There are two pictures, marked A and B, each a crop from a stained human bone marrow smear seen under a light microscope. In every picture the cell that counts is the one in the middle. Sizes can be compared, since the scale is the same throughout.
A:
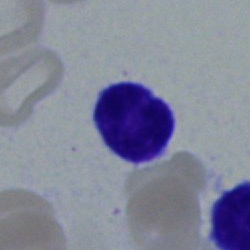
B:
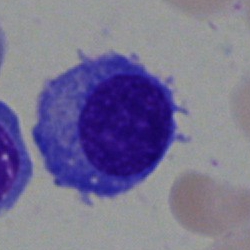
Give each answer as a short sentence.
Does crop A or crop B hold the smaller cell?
The cell in crop A is smaller; the one in crop B has about 2.5 times its area.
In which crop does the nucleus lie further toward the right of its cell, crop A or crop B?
The nucleus in crop B lies further toward the right of its cell.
